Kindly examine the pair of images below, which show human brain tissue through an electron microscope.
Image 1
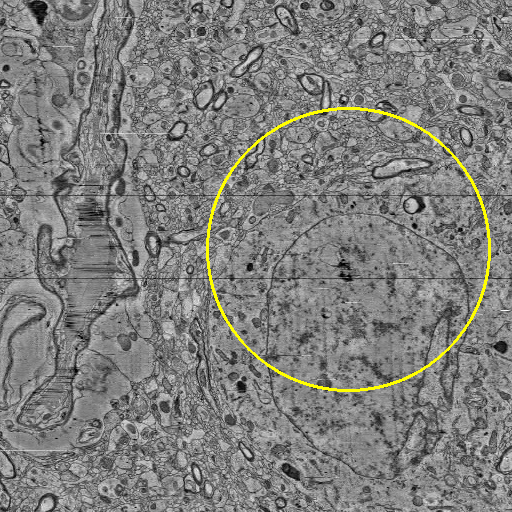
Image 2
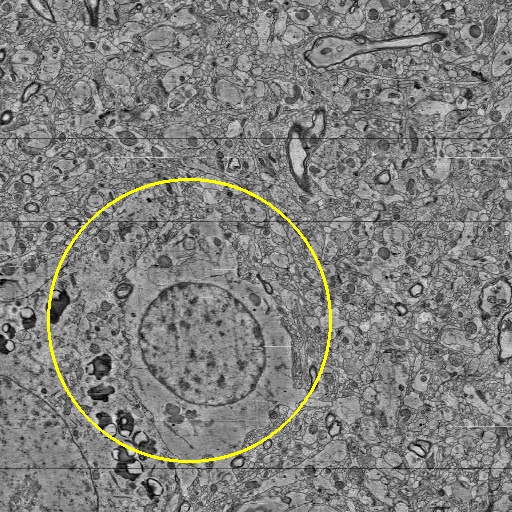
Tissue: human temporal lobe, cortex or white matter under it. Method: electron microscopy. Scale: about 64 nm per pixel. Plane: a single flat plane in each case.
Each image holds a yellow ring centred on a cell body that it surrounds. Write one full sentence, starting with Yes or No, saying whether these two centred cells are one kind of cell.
No, the cells at the centres of the yellow rings belong to two kinds of cell.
